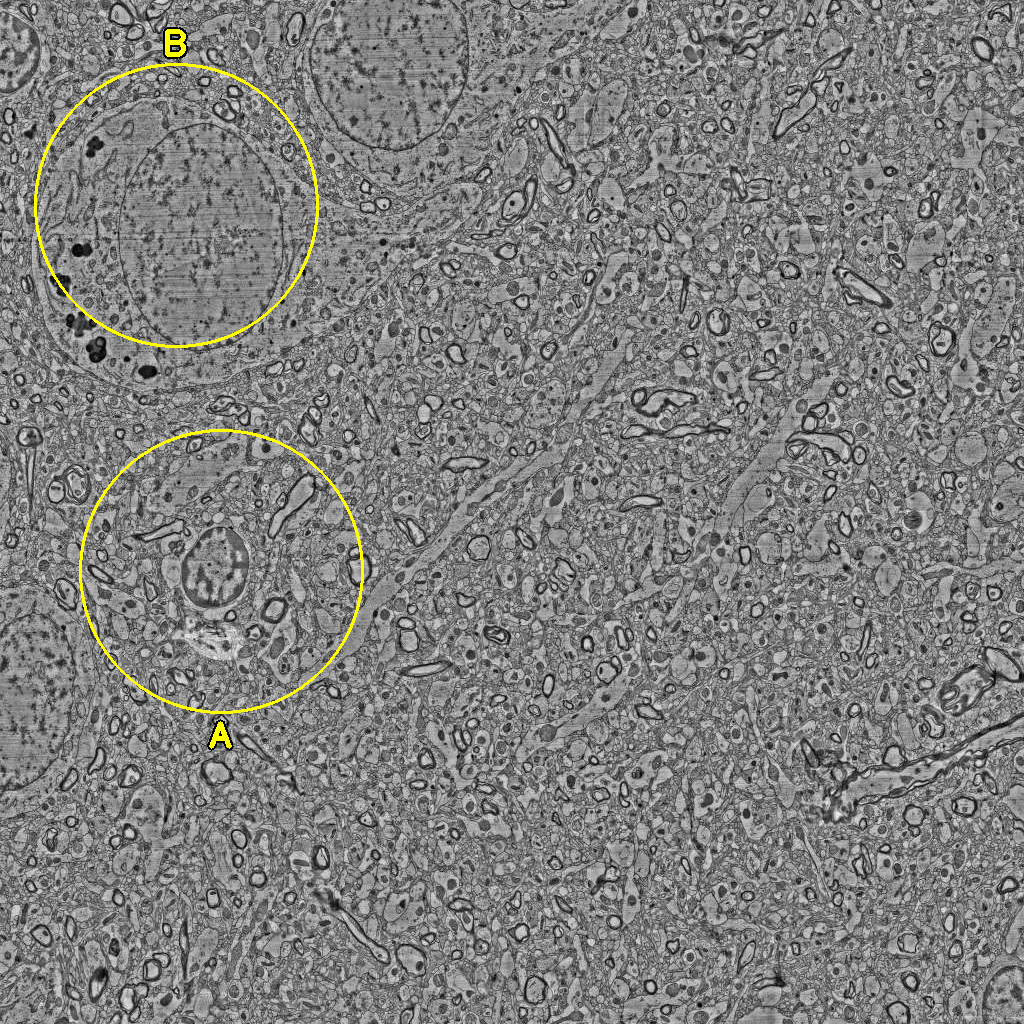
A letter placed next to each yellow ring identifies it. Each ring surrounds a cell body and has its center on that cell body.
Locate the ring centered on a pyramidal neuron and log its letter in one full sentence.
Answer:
Ring B has at its center the cell that the task asks for.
